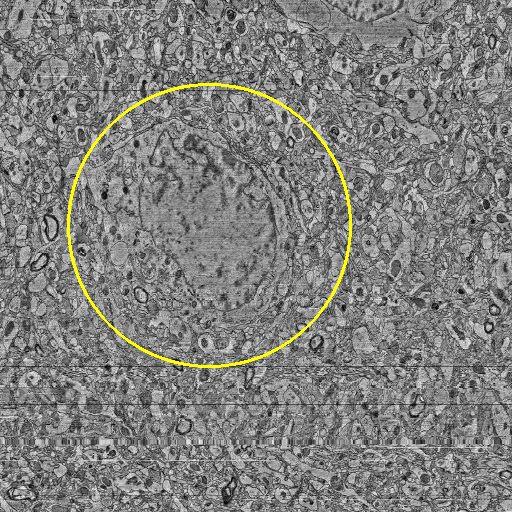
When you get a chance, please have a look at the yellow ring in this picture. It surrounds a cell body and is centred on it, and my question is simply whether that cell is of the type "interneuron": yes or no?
Yes, the cell is of that type.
